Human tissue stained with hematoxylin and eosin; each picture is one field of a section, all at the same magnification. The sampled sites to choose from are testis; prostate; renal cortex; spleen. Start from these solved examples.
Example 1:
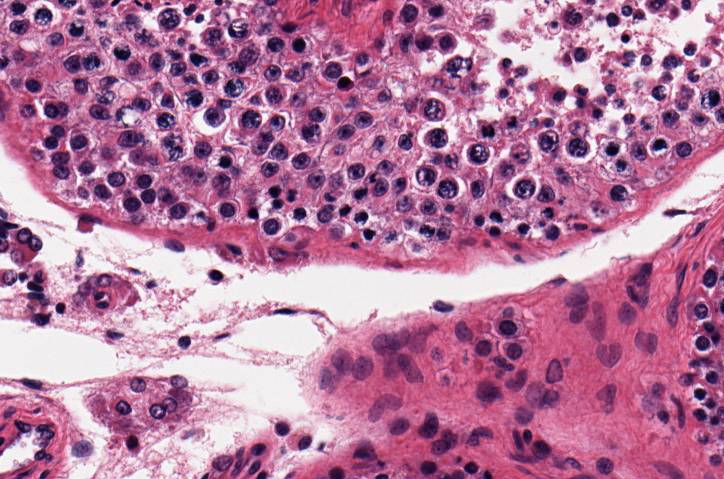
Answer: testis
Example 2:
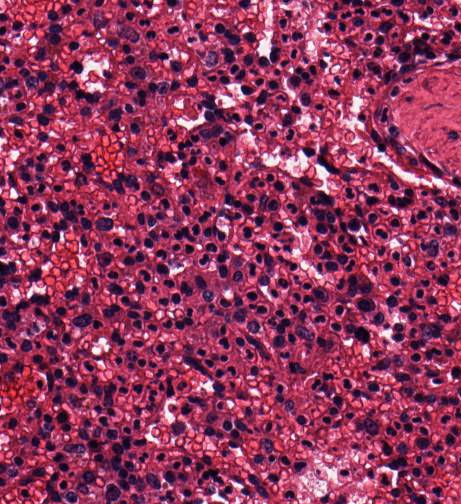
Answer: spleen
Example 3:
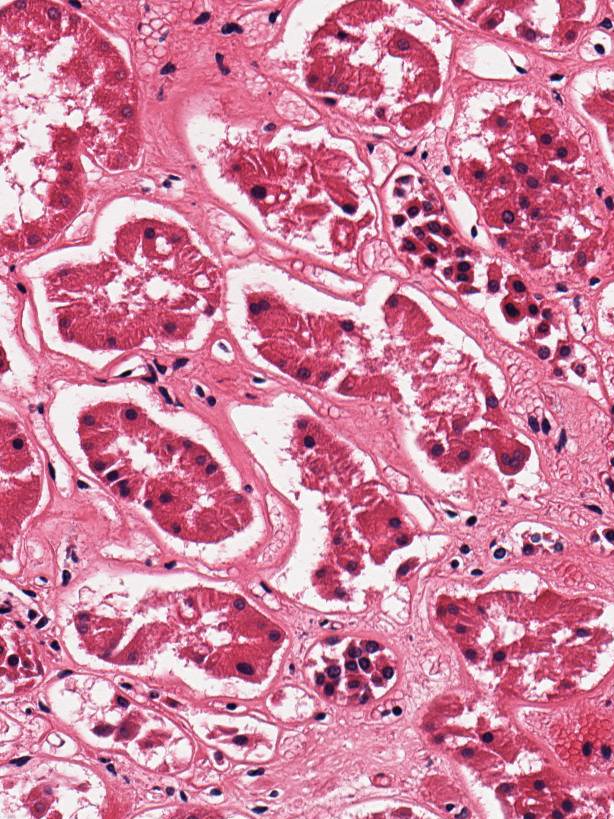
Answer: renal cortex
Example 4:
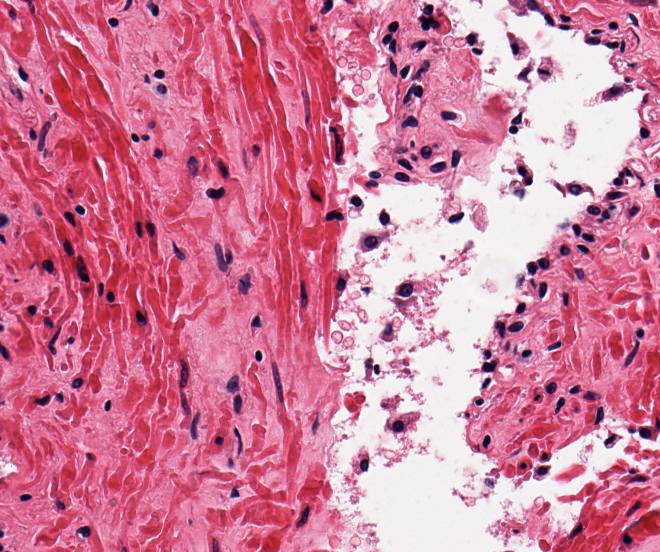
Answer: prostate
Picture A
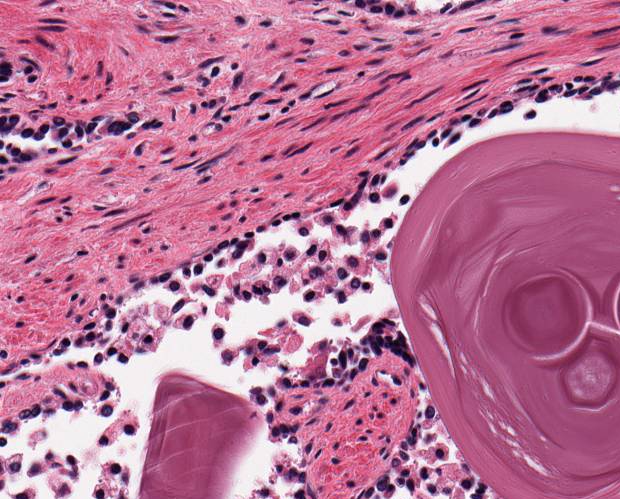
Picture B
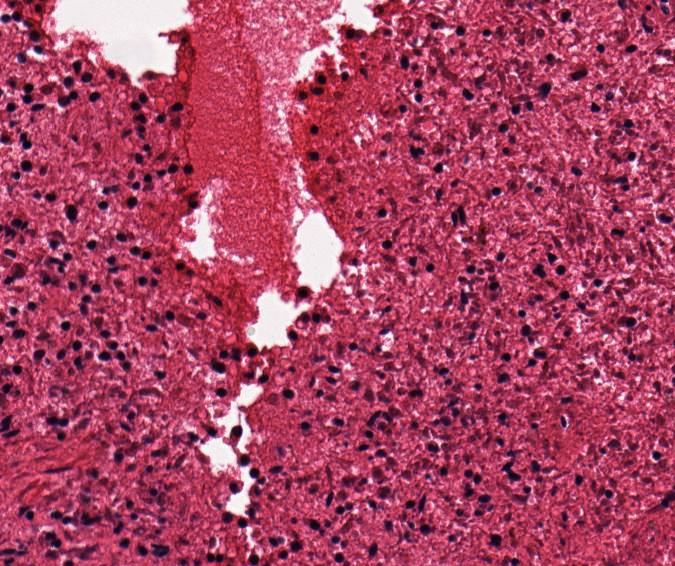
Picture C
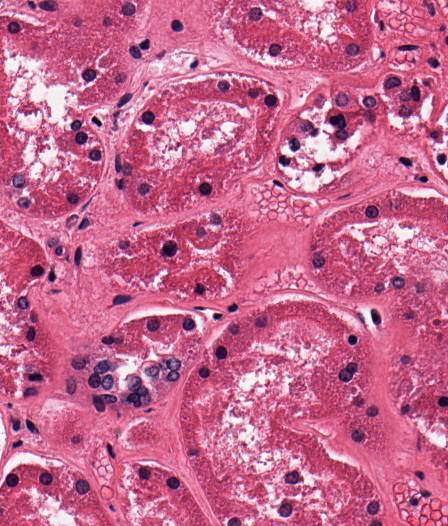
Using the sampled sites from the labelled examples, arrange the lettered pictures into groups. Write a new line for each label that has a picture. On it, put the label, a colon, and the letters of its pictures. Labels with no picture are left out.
prostate: A
renal cortex: C
spleen: B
